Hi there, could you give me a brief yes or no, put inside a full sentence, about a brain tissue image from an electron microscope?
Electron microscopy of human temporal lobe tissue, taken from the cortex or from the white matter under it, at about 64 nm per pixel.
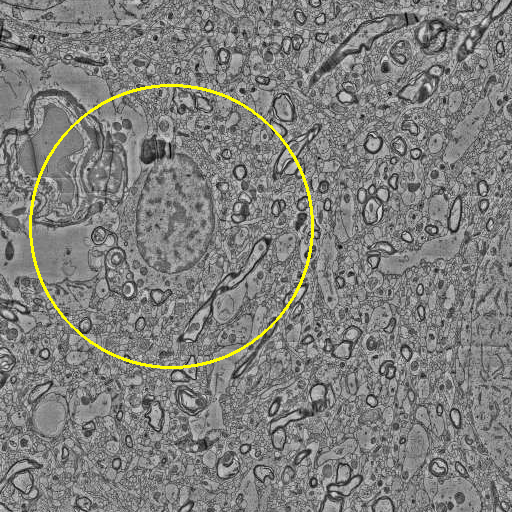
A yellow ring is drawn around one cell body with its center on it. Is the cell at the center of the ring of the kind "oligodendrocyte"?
Yes, the cell found at the center of the yellow ring is of that kind.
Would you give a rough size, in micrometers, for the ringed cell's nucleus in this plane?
In this plane the nucleus measures roughly 8 by 5 micrometres.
